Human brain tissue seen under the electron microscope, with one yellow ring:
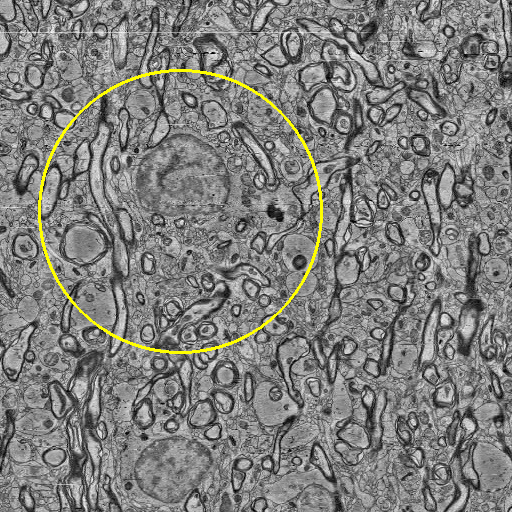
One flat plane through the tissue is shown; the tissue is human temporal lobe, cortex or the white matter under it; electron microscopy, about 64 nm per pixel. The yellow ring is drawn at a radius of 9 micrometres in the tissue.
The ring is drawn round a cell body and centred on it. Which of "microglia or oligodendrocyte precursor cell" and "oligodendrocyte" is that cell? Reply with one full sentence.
The picture shows an oligodendrocyte at the very centre of the yellow ring.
